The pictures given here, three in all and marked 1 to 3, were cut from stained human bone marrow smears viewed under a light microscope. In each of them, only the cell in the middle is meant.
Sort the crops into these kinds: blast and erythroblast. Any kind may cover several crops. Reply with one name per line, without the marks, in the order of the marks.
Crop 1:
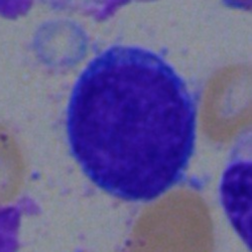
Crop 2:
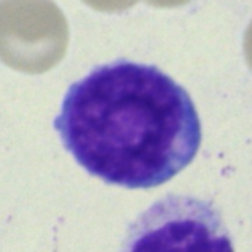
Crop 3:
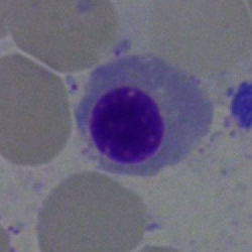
blast
blast
erythroblast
